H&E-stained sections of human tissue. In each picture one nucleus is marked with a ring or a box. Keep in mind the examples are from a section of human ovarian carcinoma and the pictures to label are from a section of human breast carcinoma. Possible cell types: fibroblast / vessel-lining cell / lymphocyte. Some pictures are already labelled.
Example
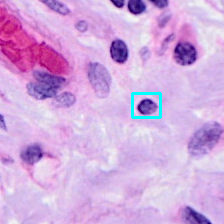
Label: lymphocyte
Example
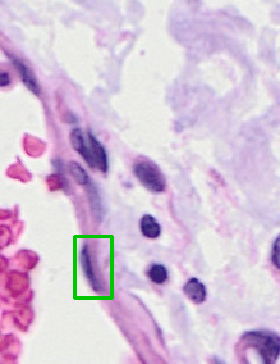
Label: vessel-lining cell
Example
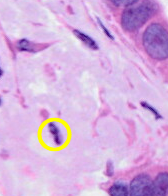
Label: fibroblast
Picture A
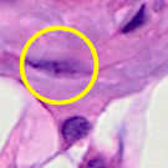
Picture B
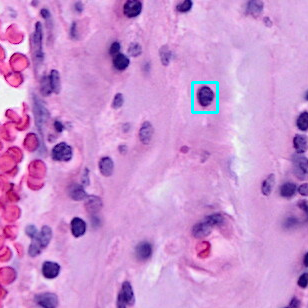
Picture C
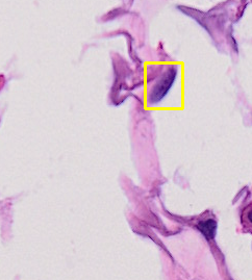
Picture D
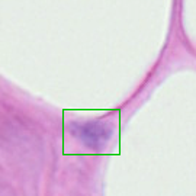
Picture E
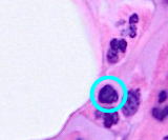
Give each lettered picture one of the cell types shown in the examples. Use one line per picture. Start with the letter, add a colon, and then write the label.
A: fibroblast
B: lymphocyte
C: fibroblast
D: fibroblast
E: lymphocyte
